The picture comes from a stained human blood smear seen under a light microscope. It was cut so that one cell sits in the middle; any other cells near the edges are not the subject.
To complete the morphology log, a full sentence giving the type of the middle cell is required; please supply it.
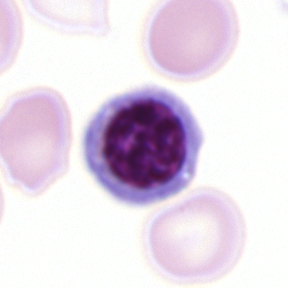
The central cell shown in this smear crop is an erythroblast.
